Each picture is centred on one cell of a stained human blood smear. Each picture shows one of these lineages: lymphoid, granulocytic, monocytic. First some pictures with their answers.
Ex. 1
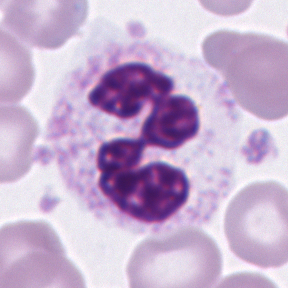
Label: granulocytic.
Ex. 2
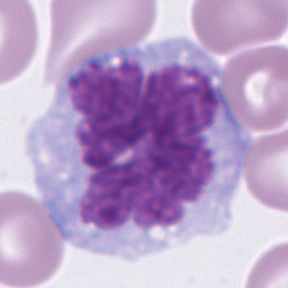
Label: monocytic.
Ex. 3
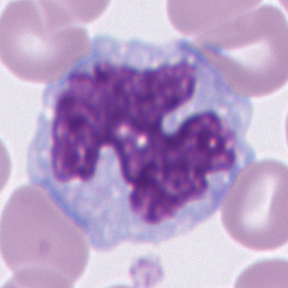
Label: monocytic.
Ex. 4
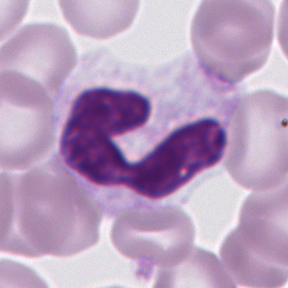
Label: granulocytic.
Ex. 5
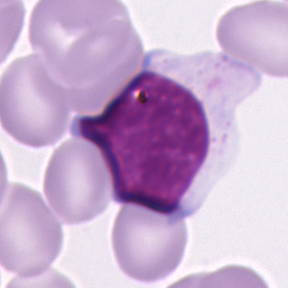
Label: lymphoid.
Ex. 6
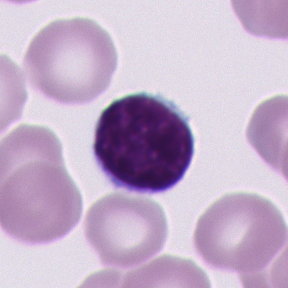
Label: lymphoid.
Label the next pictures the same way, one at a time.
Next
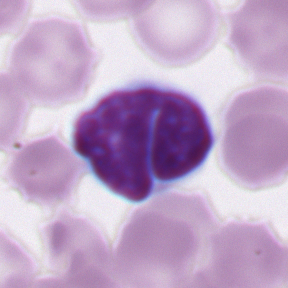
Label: lymphoid.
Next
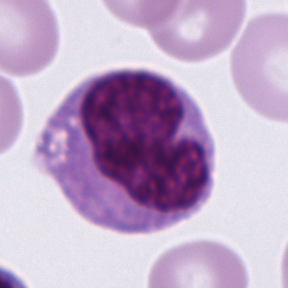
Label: monocytic.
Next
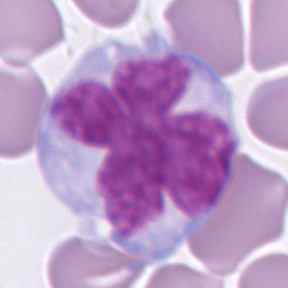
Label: monocytic.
